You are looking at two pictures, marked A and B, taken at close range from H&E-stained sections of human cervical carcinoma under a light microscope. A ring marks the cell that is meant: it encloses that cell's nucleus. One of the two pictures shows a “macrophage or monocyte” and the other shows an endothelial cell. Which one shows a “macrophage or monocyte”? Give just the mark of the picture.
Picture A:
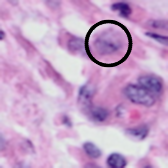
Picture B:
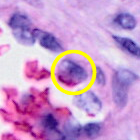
A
